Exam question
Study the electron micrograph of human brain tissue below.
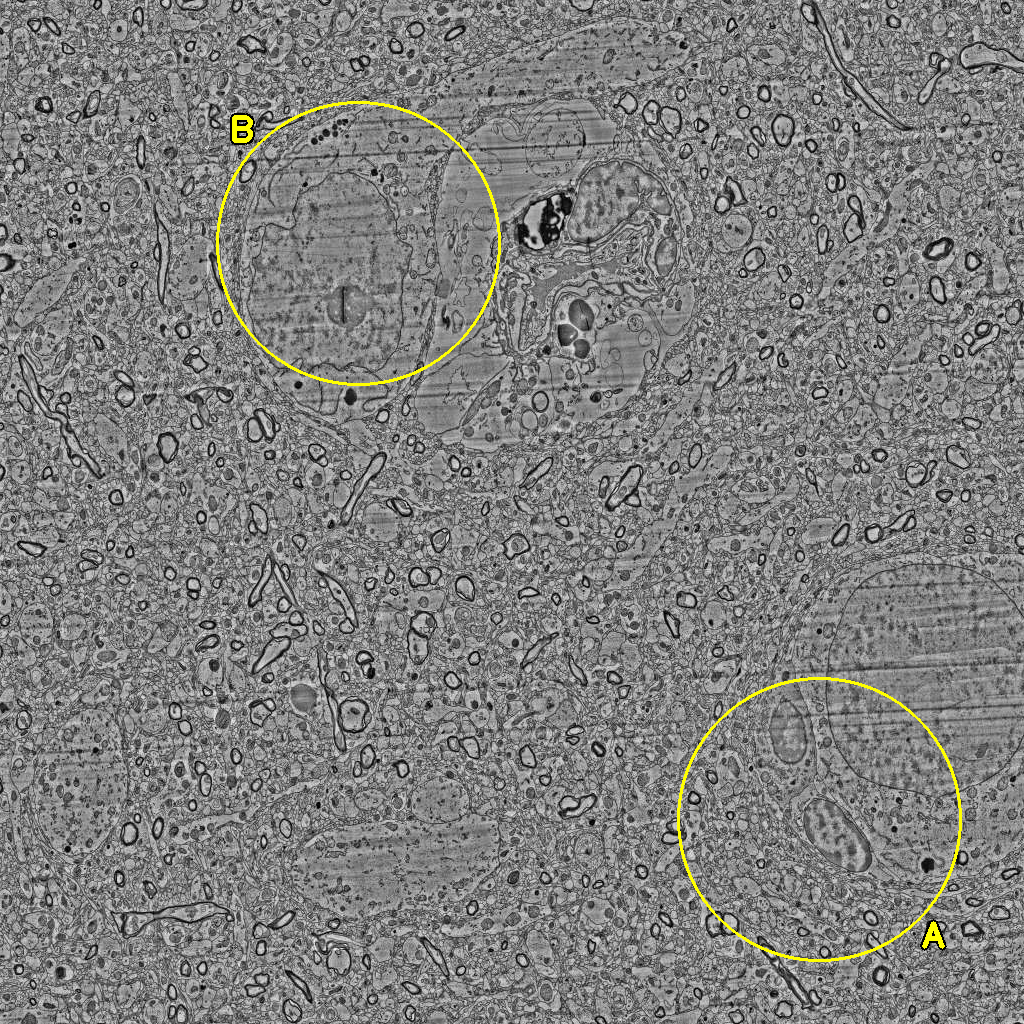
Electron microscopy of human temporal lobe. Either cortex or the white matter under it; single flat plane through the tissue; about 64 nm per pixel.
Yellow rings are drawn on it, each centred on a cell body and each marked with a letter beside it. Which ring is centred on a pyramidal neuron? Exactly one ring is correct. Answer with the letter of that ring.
B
